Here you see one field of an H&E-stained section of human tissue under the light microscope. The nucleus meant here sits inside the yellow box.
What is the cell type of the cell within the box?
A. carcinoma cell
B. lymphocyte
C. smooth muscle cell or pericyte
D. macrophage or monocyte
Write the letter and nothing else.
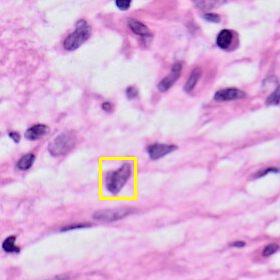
D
